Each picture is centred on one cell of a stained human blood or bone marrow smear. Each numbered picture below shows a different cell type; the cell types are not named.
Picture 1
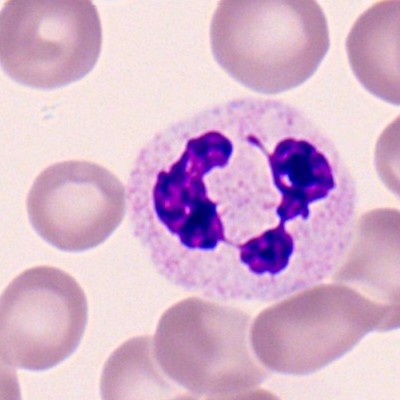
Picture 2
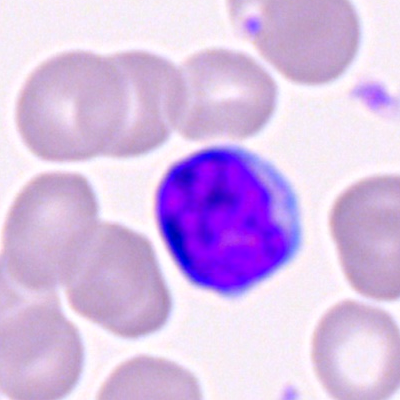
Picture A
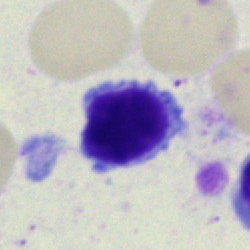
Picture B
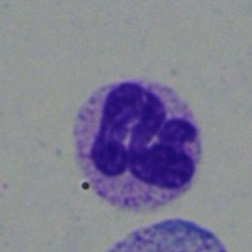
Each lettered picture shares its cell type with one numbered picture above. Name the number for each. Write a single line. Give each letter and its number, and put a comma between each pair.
A 2, B 1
